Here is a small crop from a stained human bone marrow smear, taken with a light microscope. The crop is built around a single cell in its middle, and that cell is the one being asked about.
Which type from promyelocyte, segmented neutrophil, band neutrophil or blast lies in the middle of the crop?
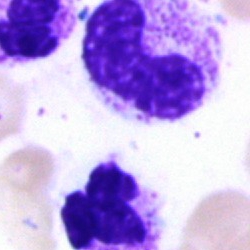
band neutrophil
